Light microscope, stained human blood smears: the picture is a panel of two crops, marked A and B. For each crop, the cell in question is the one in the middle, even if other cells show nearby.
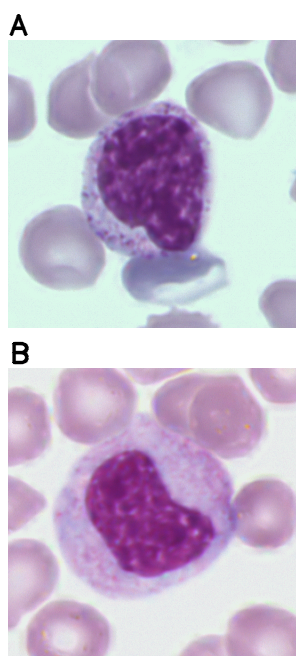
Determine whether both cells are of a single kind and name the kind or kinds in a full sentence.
Yes, in the case of both crops, the central cells are metamyelocytes.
